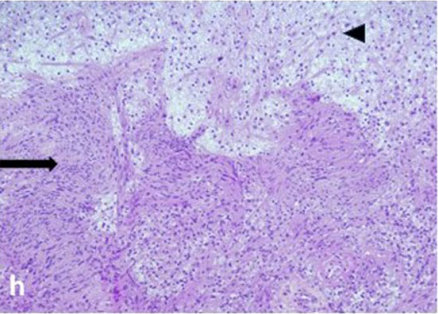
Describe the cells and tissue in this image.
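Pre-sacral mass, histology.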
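A spindle cell tumour is seen, with elongated, tapered nuclei set in pink, fibrillary cytoplasm and stroma. In the lower part the cells are tightly packed into streaming fascicles, forming a hypercellular Antoni A area. In the upper part the tissue is pale and loose, with sparse, scattered nuclei in a watery background, a hypocellular Antoni B area. The nuclei look bland and fairly uniform, and the pattern fits a schwannoma.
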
